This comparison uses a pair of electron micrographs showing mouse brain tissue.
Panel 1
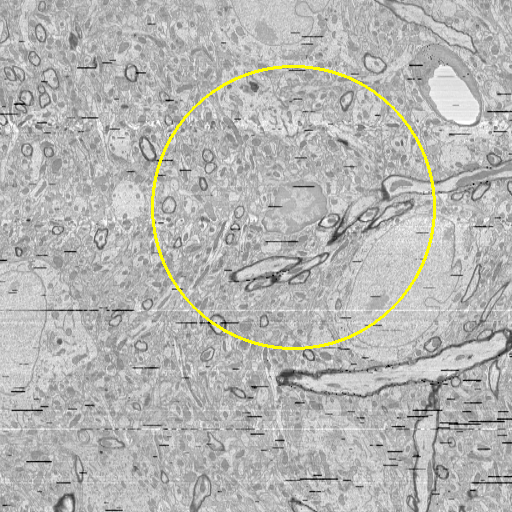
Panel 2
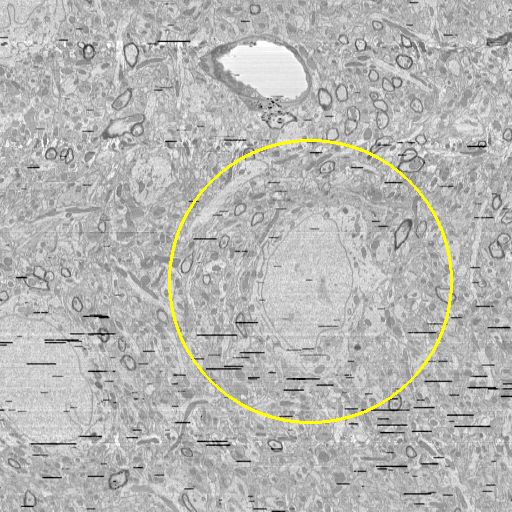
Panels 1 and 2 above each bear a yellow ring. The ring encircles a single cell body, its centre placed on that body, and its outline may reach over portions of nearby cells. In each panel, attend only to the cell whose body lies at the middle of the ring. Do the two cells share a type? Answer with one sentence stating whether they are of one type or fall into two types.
In Panel 1 and Panel 2, the cells at the centres of the rings fall into two types.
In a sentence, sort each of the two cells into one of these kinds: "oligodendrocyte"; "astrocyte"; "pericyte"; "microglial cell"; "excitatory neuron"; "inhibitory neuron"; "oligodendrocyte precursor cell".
The first of the two cells is a microglial cell, and the second is an excitatory neuron.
